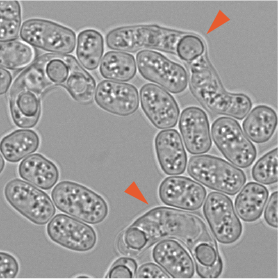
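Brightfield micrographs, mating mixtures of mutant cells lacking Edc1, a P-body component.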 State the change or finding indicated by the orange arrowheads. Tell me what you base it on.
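The marked cells are asci holding round refractile spores. The marked asci hold a number of spores other than four. That points to this answer: ascii that contain fewer or more than four spores.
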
